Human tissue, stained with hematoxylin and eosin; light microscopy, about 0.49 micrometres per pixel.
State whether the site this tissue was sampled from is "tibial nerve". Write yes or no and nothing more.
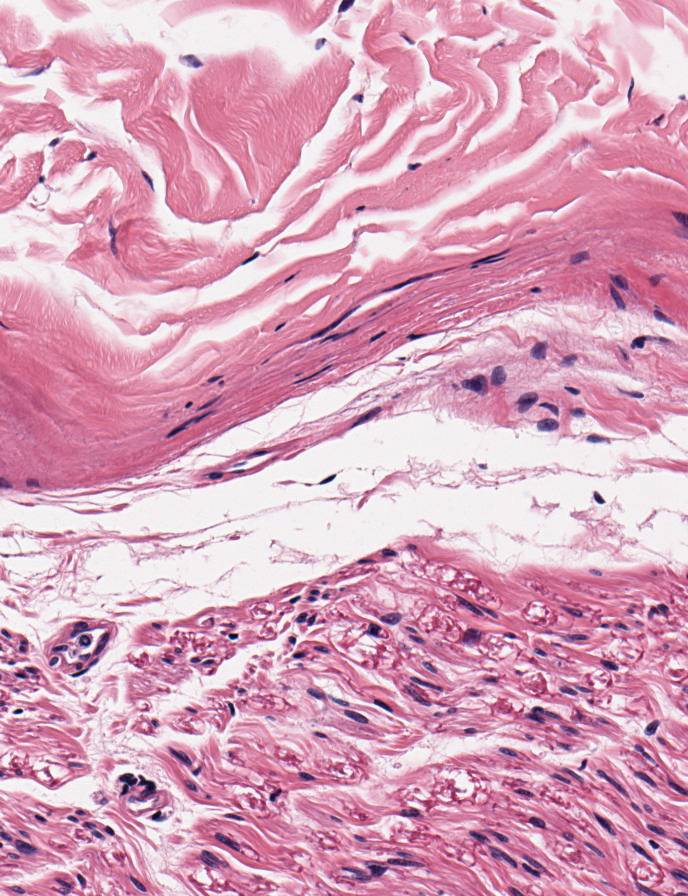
yes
